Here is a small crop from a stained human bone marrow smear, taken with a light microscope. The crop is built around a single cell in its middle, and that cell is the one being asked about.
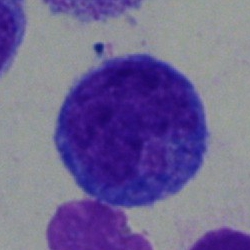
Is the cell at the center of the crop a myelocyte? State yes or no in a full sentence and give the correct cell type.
No, it is not a myelocyte that sits at the centre but a blast.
